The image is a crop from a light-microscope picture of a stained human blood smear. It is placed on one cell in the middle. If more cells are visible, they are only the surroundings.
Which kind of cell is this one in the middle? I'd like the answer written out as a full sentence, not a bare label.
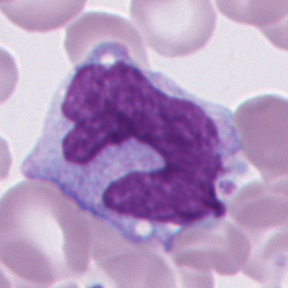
Among the cells in view, the one in the middle is a monocyte.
